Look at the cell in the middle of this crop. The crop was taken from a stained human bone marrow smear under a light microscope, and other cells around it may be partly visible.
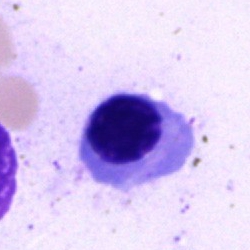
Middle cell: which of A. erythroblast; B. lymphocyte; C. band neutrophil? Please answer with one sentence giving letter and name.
According to option A, which is correct, the cell in the middle is an erythroblast.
